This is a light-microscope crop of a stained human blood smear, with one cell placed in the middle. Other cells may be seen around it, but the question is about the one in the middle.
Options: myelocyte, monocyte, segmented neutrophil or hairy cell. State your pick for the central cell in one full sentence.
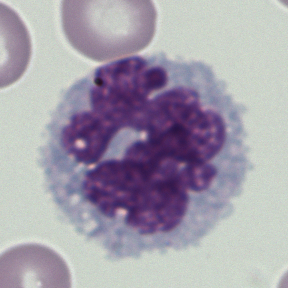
This crop has a monocyte at its centre.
